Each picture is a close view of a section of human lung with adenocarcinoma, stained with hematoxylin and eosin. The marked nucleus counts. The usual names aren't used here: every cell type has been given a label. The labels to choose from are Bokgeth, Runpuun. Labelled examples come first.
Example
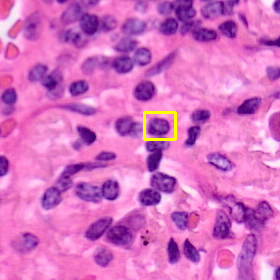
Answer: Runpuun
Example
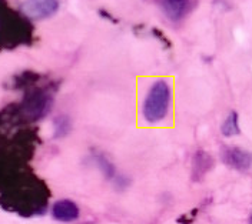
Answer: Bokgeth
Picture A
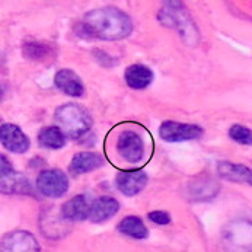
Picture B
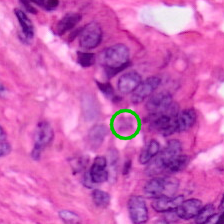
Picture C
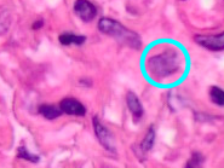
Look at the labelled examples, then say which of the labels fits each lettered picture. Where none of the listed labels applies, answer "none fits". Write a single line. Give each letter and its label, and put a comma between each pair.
A Runpuun, B none fits, C Bokgeth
